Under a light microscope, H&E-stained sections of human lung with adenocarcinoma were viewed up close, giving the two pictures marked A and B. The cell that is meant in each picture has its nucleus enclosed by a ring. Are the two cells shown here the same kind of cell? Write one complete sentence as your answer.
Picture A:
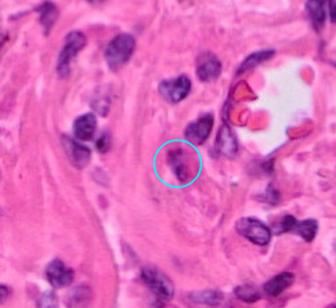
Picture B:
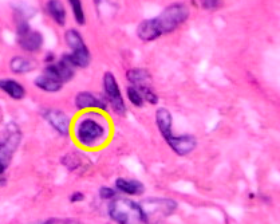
No, they differ: the cell is a plasma cell in picture A and a lymphocyte in picture B.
